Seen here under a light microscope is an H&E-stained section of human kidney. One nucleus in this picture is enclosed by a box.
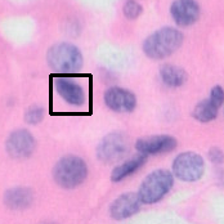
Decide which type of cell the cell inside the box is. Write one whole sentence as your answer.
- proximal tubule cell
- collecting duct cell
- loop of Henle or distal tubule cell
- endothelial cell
The identity of the cell inside the box is that of a collecting duct cell.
